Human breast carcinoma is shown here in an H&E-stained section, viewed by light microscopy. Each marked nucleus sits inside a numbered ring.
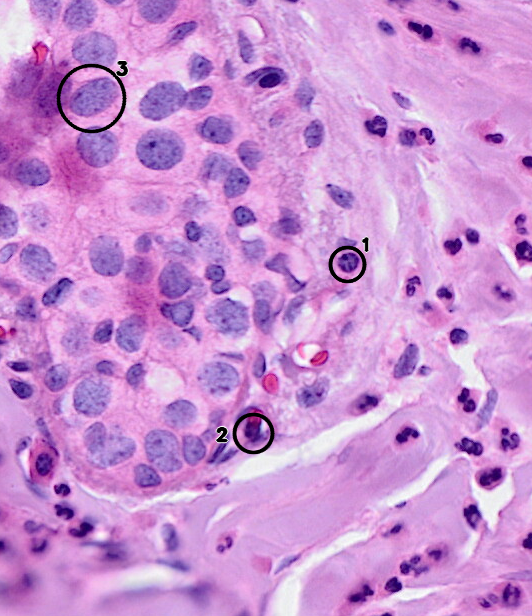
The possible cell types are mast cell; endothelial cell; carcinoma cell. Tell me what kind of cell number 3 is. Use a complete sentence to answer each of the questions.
The nucleus marked 3 is the nucleus of a carcinoma cell.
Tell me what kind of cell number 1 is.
The cell that carries the label 1 is a mast cell.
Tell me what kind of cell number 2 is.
Numbered cell 2 is an endothelial cell in this tissue section.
